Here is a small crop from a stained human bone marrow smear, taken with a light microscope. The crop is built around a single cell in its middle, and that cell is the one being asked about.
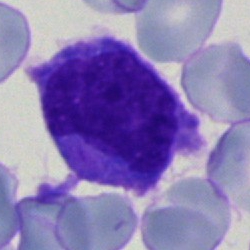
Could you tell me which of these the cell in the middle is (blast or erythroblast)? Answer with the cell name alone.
blast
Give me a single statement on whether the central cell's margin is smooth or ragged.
The cell margin is rough and uneven, either ragged or drawn into projections.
